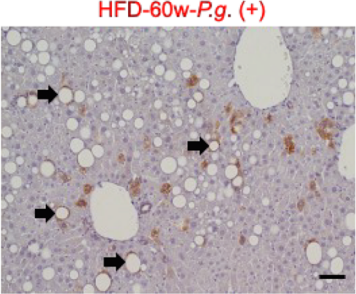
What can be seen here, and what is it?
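Liver tissue with hepatocytes carrying fat vacuoles and brown-stained cells, some forming crown-like structures around vacuoles. Hepatocytes are polygonal with round blue nuclei and pale cytoplasm; many hold clear round vacuoles ranging from small droplets to large ones displacing the cell. Brown-stained cells appear in clusters and patches between hepatocytes, and at several spots a thin brown rim encircles a single large clear vacuole. Large empty lumens of vessels lie in the field. Brown staining is patchy, more concentrated in some areas than others.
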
